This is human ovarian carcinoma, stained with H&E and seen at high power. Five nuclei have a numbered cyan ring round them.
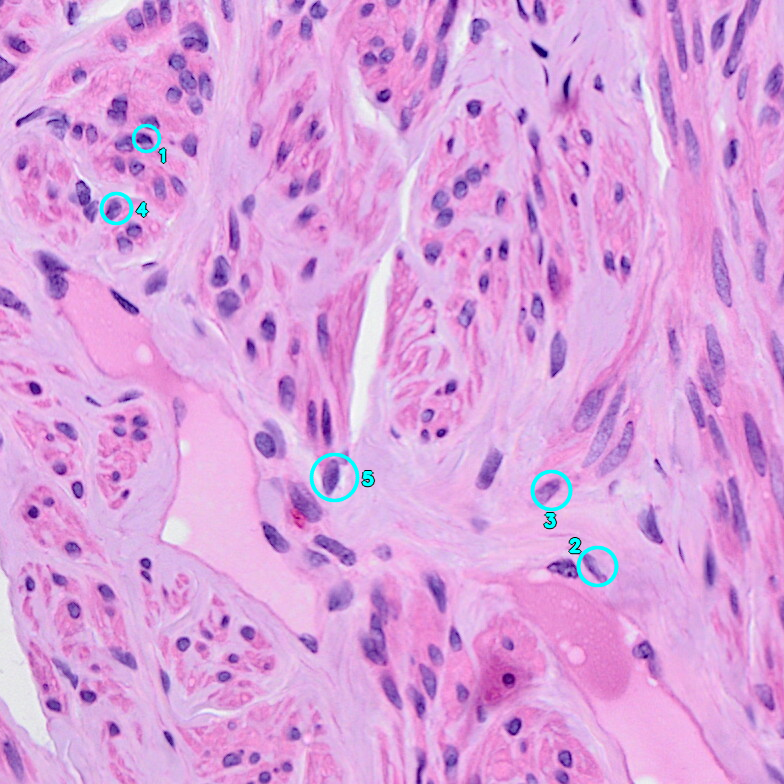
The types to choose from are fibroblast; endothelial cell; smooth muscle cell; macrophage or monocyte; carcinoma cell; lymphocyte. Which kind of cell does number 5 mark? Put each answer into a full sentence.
Here, the cell given the number 5 is a fibroblast.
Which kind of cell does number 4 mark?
Among the marked nuclei, number 4 belongs to a smooth muscle cell.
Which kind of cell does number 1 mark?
It is as a smooth muscle cell that the cell numbered 1 is identified.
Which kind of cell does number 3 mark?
The cell numbered 3 has been identified as a smooth muscle cell.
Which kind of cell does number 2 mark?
That cell with number 2 is a fibroblast.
